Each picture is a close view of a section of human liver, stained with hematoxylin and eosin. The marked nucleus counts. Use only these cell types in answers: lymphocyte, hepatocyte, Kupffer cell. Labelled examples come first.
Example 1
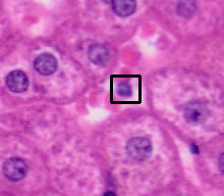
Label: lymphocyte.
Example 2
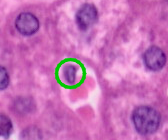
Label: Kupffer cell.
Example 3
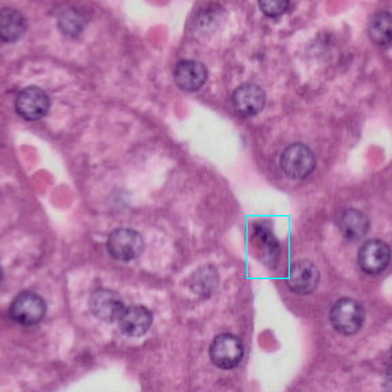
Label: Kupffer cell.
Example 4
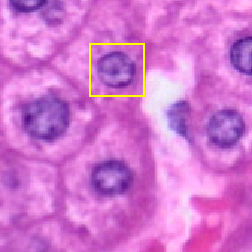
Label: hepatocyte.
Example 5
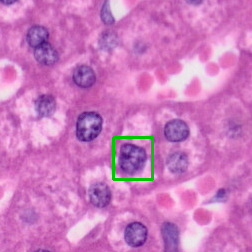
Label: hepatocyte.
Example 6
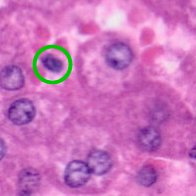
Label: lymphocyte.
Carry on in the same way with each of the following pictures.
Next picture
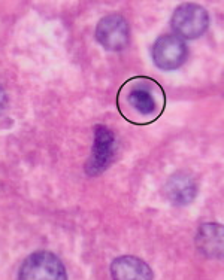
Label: lymphocyte.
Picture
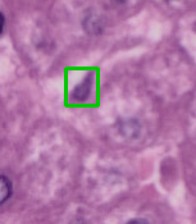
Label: Kupffer cell.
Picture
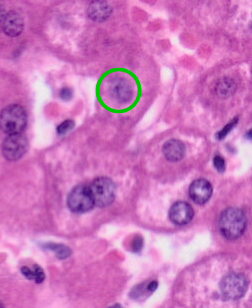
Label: hepatocyte.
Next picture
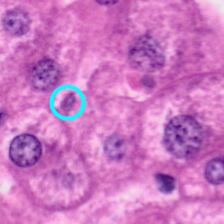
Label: Kupffer cell.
